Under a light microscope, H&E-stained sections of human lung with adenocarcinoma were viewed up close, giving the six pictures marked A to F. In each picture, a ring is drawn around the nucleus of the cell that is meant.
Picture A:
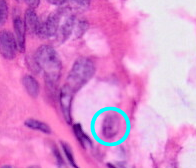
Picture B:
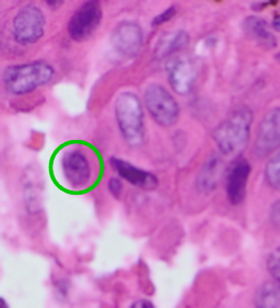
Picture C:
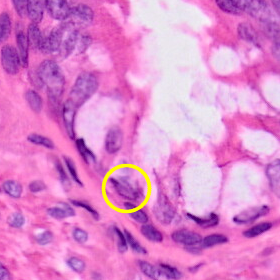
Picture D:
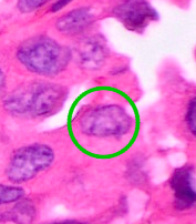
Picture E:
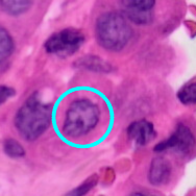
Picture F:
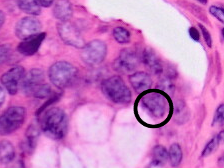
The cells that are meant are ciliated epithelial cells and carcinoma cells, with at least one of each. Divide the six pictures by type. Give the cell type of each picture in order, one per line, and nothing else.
ciliated epithelial cell
carcinoma cell
ciliated epithelial cell
carcinoma cell
carcinoma cell
ciliated epithelial cell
